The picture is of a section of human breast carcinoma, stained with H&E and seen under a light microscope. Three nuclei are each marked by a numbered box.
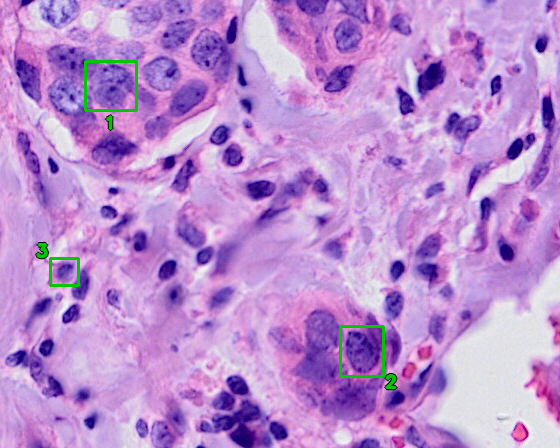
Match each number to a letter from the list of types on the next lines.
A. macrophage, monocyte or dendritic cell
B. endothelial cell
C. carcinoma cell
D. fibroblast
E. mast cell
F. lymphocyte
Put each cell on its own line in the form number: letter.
1: C
2: C
3: E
